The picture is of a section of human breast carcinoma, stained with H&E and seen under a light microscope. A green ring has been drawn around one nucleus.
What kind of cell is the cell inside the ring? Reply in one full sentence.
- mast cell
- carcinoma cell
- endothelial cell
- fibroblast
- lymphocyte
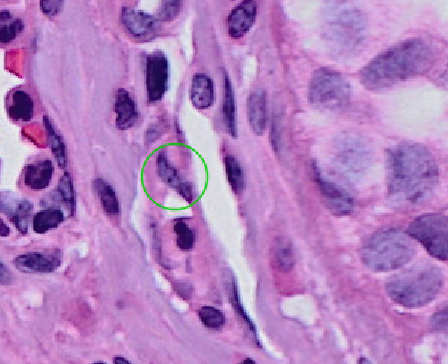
In terms of identity, the cell inside the ring is an endothelial cell.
